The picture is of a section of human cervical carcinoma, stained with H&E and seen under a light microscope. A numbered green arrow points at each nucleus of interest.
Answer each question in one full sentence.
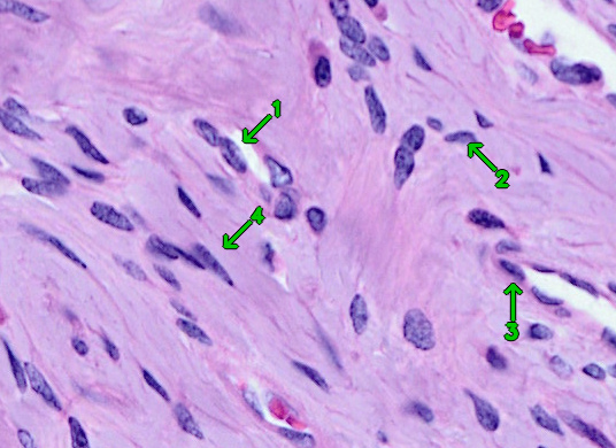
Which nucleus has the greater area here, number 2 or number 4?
Nucleus 4 is larger, with an area about 2 times that of nucleus 2.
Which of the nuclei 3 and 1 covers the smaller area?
The smaller nucleus is 3, and 1 covers roughly 2 times its area.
